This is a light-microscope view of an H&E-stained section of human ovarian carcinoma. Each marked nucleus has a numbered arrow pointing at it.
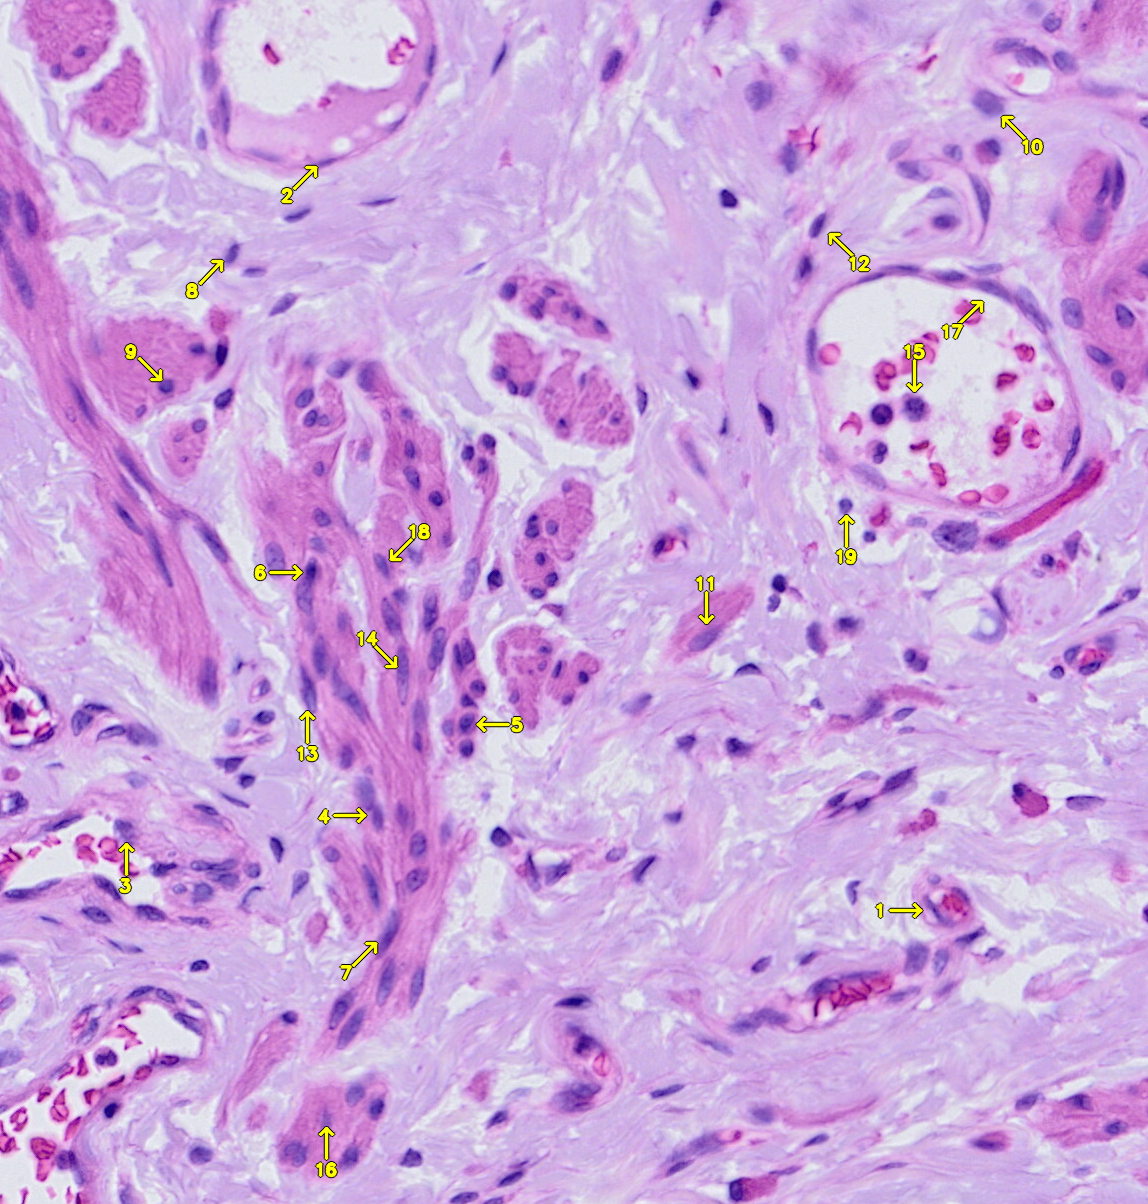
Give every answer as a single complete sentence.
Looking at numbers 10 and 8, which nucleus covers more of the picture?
At about 2.5 times the area of nucleus 8, nucleus 10 is the larger of the two.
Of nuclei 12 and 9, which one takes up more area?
At about 1.5 times the area of nucleus 9, nucleus 12 is the larger of the two.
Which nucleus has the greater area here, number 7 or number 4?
Number 7 is larger; its area is about 2 times that of number 4.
